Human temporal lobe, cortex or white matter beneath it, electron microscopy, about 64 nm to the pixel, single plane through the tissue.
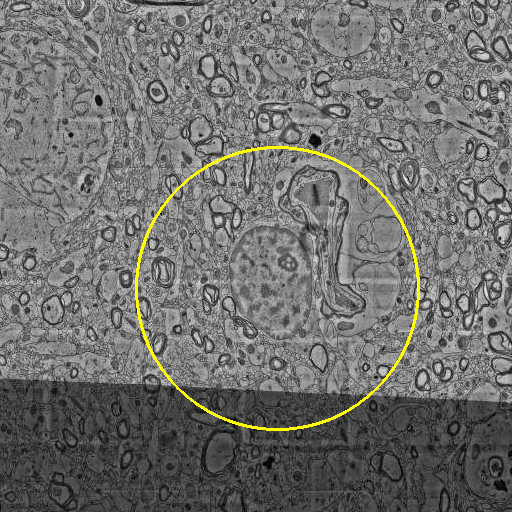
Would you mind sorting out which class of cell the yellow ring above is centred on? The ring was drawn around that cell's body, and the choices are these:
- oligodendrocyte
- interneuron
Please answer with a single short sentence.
This is the cell body of an oligodendrocyte.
